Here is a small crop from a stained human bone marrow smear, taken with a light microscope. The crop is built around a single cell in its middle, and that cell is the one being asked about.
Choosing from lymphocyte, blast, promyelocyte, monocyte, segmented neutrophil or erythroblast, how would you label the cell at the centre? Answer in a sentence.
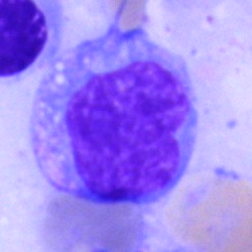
In the central position of this crop, the cell is a monocyte.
